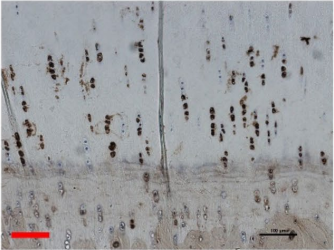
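Deep layer of articular cartilage in which chondrocytes lie in lacunae, singly and in short vertical columns, within a pale bluish-grey matrix; many of these cells are stained dark brown. Toward the bottom a wavy horizontal band crosses the tissue, and below it rounded cells sit in lacunae within a brownish matrix.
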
